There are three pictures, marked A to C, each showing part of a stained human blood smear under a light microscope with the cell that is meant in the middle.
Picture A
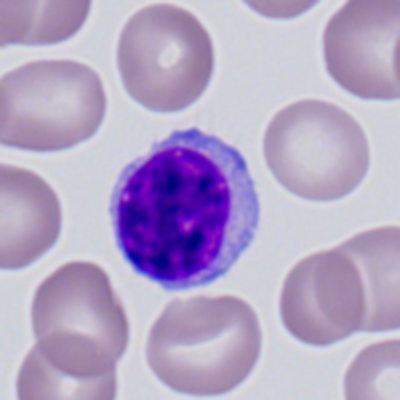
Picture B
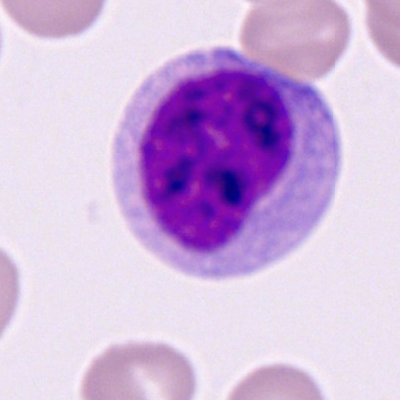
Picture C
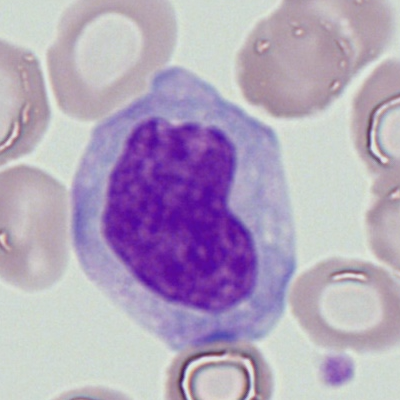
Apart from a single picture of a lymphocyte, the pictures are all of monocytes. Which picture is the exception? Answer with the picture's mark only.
A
